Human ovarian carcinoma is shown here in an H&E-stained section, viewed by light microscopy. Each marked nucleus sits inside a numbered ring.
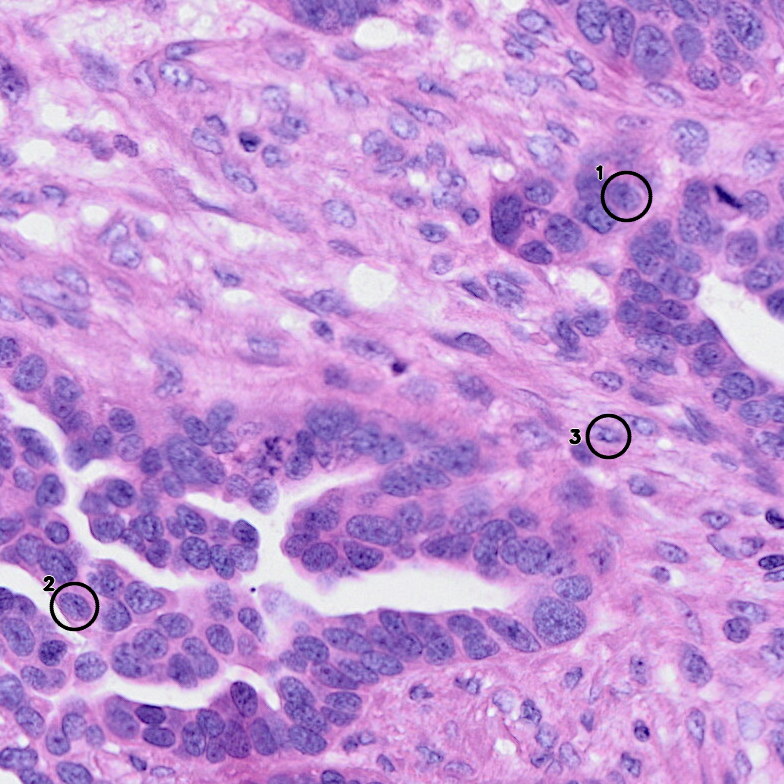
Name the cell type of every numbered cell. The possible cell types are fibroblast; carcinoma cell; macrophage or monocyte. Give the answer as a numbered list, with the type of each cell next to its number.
1. carcinoma cell
2. carcinoma cell
3. fibroblast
